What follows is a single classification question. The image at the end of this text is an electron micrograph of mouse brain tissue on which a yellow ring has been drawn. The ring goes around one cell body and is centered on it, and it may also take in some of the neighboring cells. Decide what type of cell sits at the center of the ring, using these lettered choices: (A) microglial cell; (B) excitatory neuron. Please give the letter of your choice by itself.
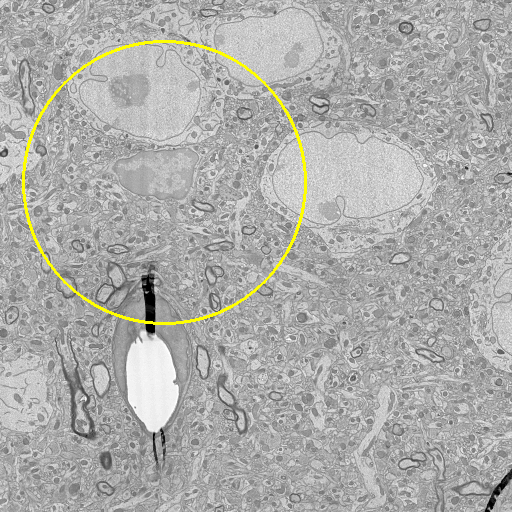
A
